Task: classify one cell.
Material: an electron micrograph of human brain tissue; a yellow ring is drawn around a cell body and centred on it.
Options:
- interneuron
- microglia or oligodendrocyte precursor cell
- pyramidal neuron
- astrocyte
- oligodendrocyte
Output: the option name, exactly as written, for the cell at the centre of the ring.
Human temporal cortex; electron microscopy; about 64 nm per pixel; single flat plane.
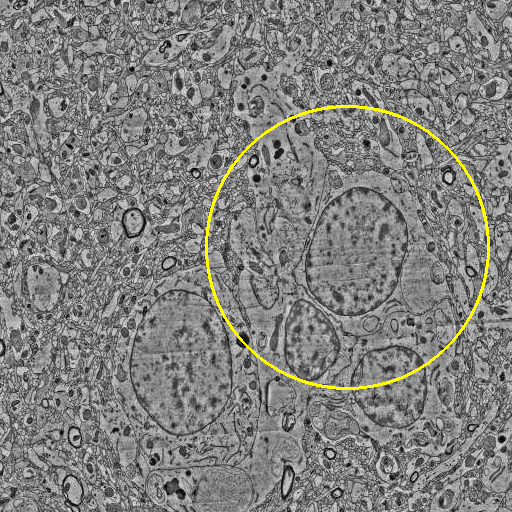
astrocyte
